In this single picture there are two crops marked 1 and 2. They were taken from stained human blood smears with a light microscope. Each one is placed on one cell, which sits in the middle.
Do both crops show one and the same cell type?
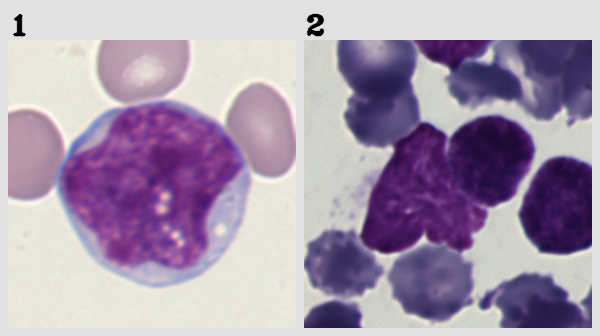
no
